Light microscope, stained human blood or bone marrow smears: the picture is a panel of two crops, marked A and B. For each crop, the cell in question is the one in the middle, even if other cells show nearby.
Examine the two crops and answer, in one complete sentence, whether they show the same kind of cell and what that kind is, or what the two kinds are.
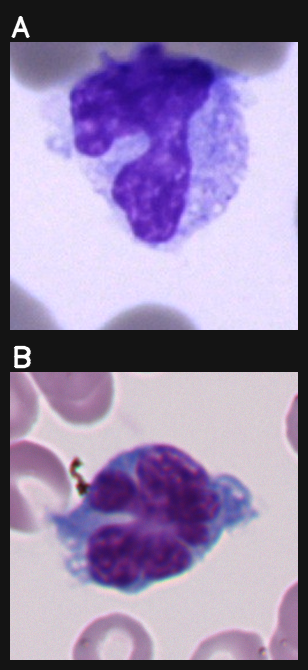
Yes, both crops show monocytes, each crop centred on one of them.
